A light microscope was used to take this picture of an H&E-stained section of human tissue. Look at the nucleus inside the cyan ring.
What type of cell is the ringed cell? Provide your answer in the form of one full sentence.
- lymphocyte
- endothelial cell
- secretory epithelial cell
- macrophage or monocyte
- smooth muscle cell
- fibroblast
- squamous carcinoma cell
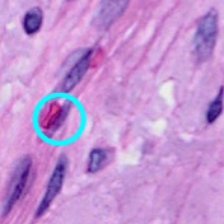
Cytologically, the ringed cell is to be regarded as an endothelial cell.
